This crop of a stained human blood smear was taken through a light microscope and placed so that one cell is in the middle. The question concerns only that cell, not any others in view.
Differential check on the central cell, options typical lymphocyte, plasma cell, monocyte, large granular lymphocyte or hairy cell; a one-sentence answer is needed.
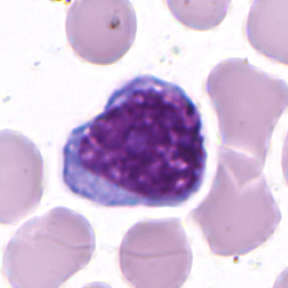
Present in the middle of the crop is a plasma cell.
